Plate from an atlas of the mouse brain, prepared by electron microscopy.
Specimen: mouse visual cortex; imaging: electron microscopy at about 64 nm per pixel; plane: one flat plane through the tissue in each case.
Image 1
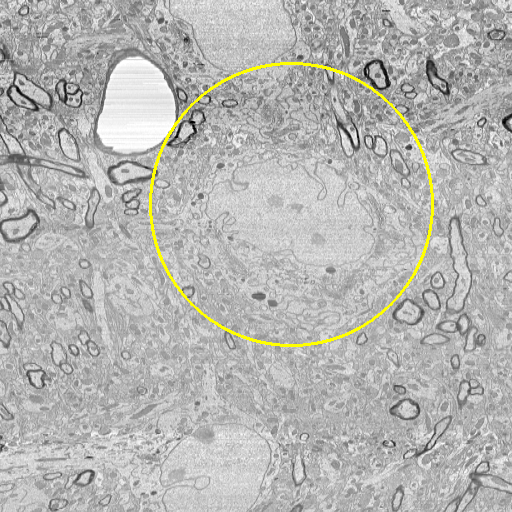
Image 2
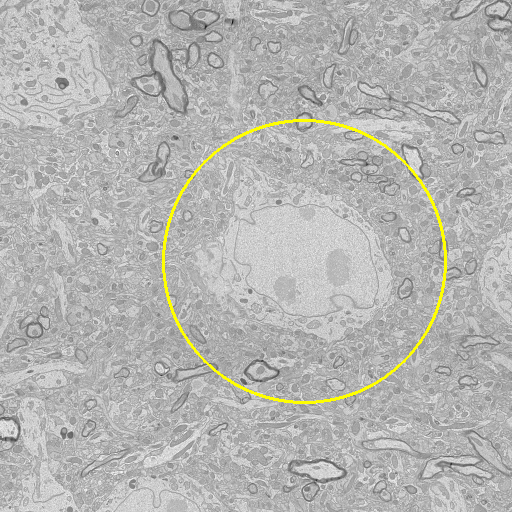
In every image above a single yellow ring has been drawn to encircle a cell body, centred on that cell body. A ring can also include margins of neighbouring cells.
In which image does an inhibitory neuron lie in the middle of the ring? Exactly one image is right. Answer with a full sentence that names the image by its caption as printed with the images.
Image 1 holds the requested cell at the very centre of its ring.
